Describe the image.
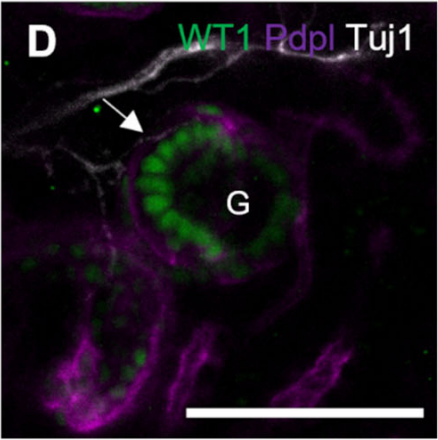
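A developing Bowman's capsule is seen in section as a ring of closely packed green nuclei forming the podocyte layer around a central rounded glomerulus. A thin magenta line outlines the outside of this ring, and further magenta-lined tubular profiles lie below and to the left.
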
